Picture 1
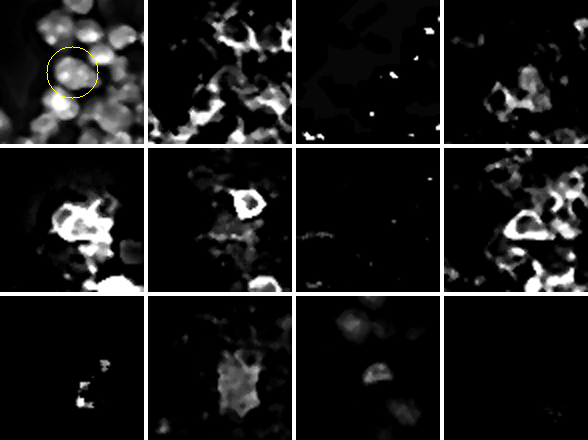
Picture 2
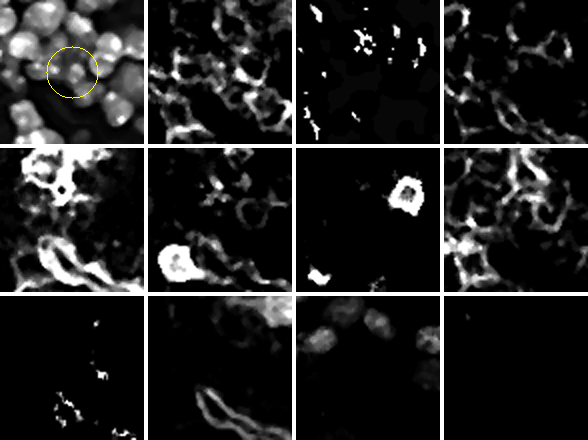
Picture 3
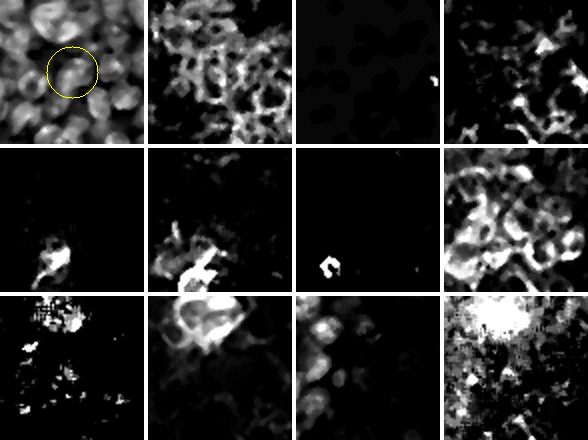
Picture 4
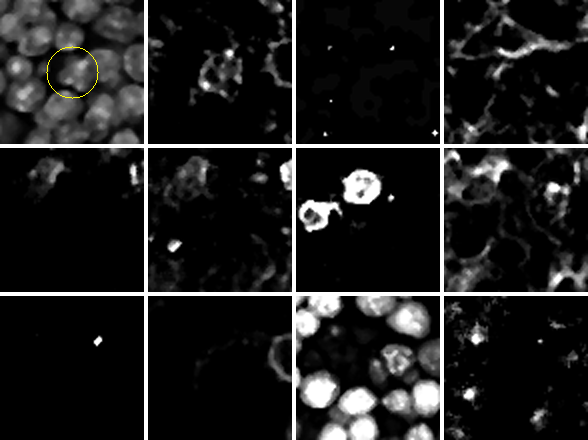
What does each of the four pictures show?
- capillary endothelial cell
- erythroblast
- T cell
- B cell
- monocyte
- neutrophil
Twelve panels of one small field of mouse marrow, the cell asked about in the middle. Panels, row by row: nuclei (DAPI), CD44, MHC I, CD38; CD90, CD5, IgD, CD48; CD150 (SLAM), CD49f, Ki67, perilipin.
(1) capillary endothelial cell
(2) neutrophil
(3) monocyte
(4) neutrophil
